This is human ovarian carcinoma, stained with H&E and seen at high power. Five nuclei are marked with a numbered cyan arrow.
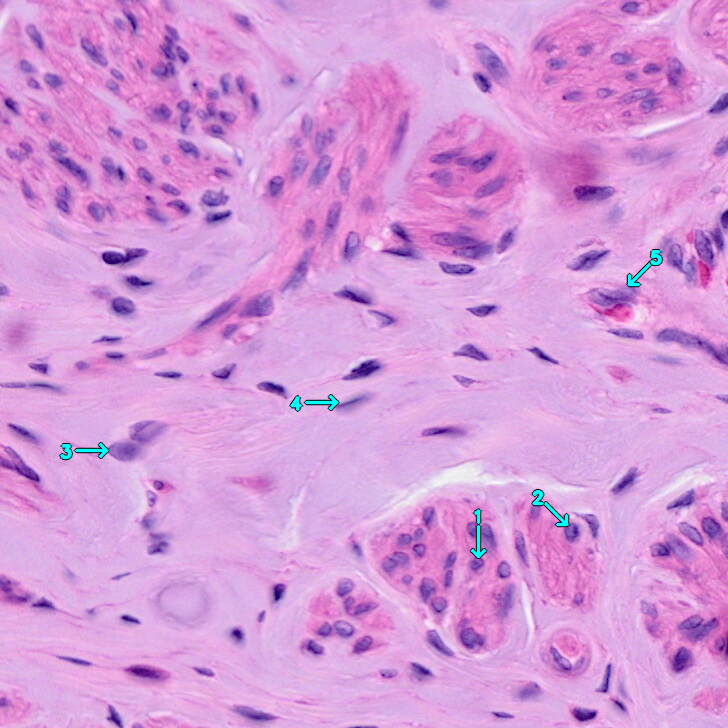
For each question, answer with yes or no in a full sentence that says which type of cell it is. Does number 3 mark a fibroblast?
Yes, and to answer plainly, cell 3 is a fibroblast.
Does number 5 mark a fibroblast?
No, it is not a fibroblast that bears number 5 but an endothelial cell.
